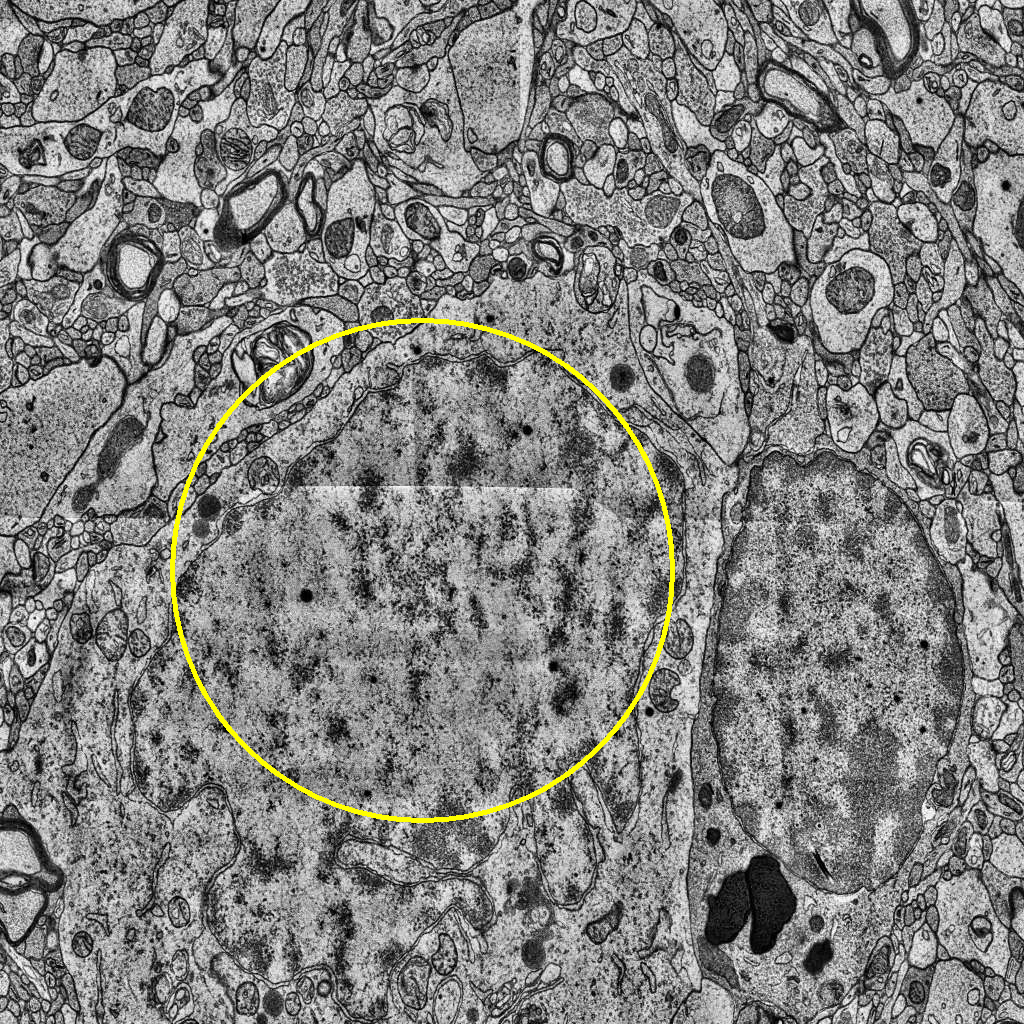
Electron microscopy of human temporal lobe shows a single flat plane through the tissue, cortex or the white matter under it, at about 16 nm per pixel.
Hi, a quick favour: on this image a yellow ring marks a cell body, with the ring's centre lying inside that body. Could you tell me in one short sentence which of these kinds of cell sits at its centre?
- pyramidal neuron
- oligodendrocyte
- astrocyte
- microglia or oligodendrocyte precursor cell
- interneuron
The ring's centre lies in an interneuron.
